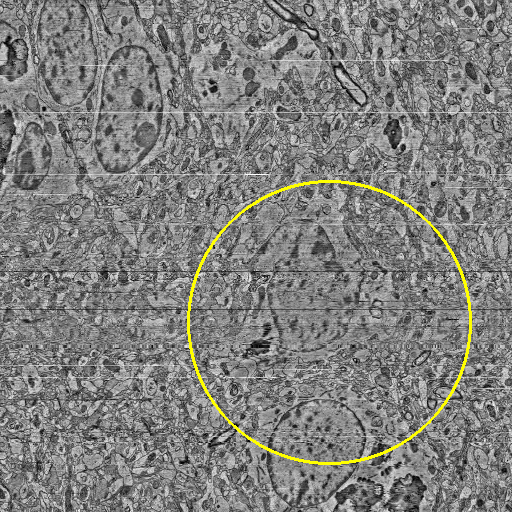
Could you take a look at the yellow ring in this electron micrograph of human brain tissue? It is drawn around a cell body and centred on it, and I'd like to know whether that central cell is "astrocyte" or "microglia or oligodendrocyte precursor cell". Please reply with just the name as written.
astrocyte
